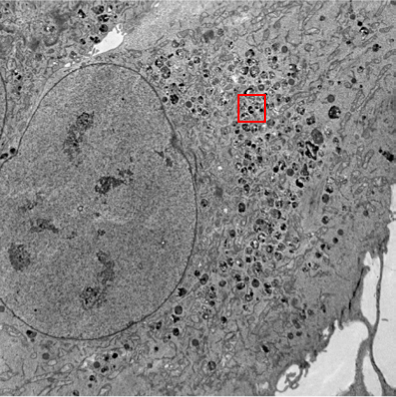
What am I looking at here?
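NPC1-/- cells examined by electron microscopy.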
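A large oval nucleus with dispersed chromatin and dense nucleolar patches occupies one side. The cytoplasm beside the nucleus is crowded with many small, electron-dense, round organelles.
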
